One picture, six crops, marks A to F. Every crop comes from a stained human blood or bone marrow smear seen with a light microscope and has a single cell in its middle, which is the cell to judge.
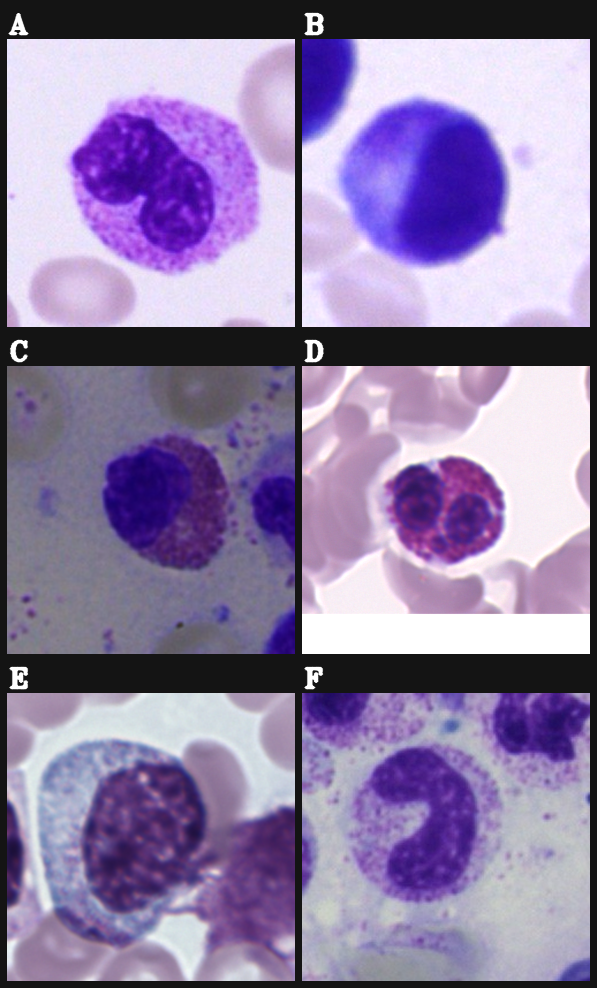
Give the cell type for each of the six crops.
A: band neutrophil
B: promyelocyte
C: eosinophil
D: eosinophil
E: promyelocyte
F: band neutrophil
